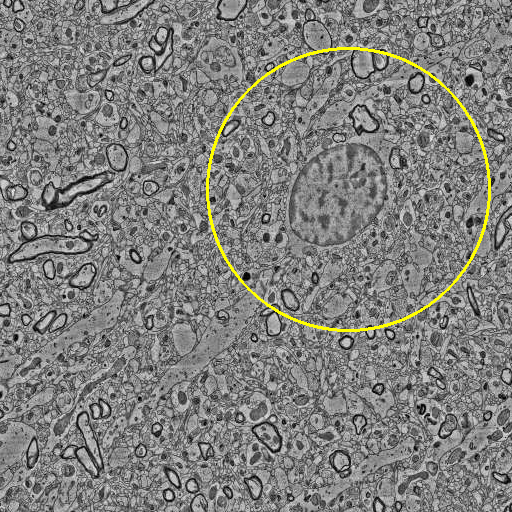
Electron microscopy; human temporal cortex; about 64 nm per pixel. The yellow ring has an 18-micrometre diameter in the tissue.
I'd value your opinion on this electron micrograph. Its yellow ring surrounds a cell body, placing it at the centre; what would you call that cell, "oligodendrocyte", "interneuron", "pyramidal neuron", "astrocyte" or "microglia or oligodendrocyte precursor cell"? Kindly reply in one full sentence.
It is an oligodendrocyte that sits centred within the yellow ring in this micrograph.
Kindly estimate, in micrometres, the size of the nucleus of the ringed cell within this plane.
The ringed cell's nucleus is about 7 micrometres long and 6 micrometres wide in this plane.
